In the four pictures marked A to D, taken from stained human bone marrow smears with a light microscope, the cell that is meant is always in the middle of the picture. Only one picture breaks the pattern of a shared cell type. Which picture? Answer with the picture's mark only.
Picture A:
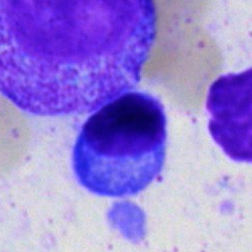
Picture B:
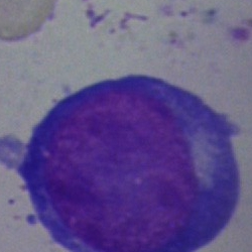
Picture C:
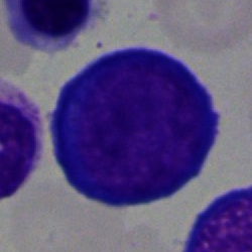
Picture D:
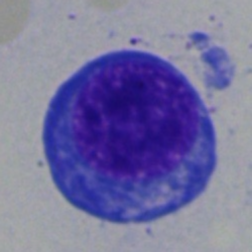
A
